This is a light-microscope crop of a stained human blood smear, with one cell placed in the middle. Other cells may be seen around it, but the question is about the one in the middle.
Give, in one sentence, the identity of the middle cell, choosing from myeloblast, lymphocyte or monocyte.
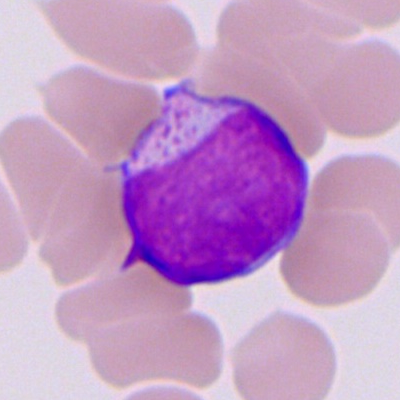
Present in the middle of the crop is a myeloblast.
